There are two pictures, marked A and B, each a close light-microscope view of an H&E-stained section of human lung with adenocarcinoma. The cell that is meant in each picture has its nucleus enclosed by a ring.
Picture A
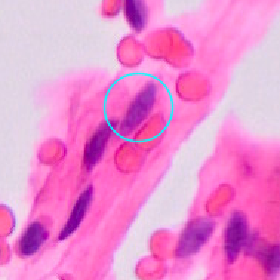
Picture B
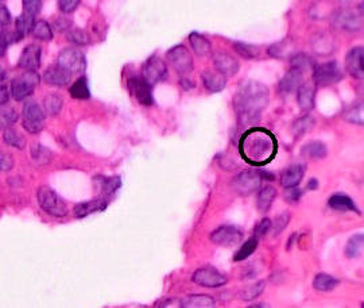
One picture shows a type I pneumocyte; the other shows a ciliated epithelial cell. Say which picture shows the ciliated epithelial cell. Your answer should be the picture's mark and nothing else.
B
